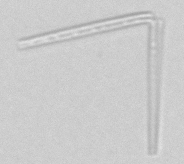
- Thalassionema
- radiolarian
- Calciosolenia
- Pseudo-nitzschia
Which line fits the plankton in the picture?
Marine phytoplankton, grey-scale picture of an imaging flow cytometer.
Thalassionema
